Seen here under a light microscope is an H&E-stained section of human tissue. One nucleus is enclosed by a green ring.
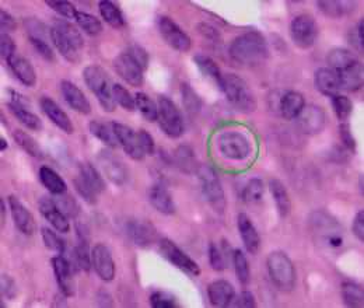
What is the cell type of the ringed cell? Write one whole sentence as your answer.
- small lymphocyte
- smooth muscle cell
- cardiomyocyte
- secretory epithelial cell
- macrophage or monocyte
This is a macrophage or monocyte.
